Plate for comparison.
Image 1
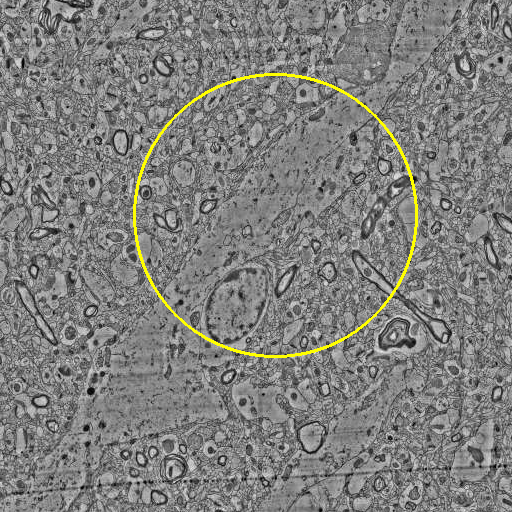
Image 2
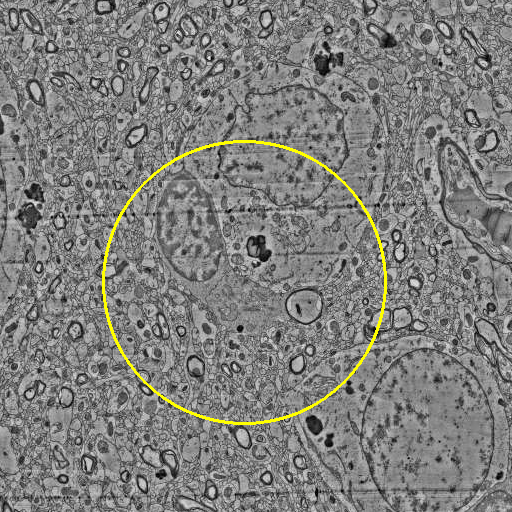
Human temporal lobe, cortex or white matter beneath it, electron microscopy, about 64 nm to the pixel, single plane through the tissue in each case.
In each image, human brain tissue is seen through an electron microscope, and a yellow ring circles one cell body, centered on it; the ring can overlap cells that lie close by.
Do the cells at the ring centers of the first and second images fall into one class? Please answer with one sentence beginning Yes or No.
No, the first and second images show two classes of cell at the ring centers.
